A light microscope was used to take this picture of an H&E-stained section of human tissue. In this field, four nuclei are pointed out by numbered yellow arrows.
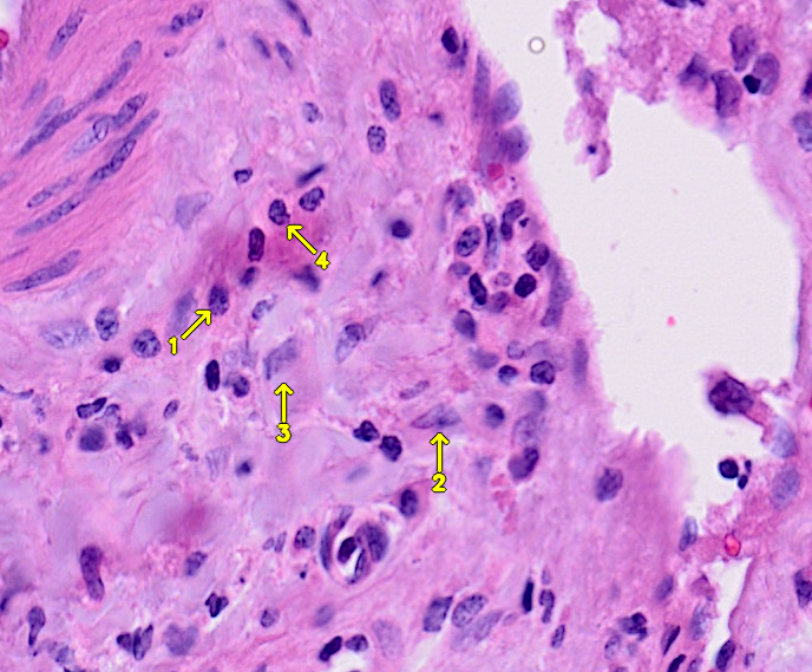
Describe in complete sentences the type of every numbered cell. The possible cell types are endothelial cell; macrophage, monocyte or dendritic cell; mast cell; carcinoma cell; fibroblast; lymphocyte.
Cells 1 and 4 are mast cells. Cells 2 and 3 are fibroblasts.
